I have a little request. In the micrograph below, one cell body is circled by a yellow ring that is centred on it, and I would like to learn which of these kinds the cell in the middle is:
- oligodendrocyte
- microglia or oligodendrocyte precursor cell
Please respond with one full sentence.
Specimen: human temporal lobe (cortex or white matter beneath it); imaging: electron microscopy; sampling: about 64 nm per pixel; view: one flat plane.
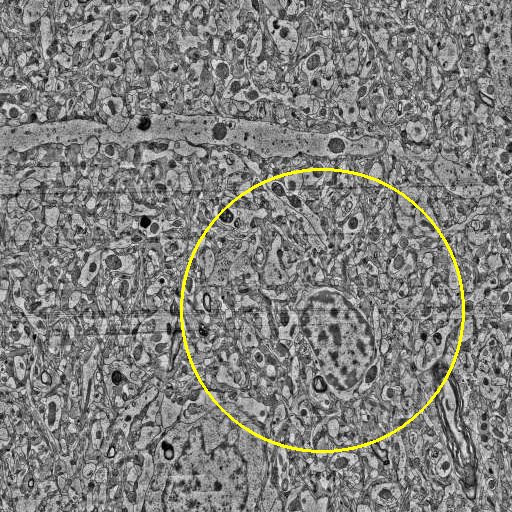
The cell sitting in the middle of the yellow ring in the micrograph is a microglial cell or oligodendrocyte precursor cell.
